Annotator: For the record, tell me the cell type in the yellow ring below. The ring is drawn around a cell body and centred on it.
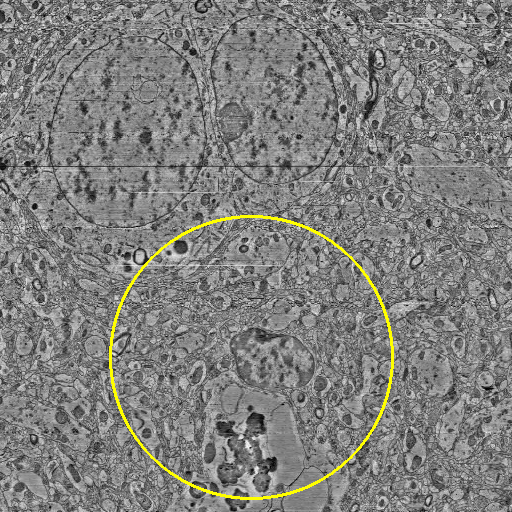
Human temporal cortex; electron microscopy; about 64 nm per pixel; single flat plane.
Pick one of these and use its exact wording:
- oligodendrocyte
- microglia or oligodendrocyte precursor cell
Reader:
microglia or oligodendrocyte precursor cell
